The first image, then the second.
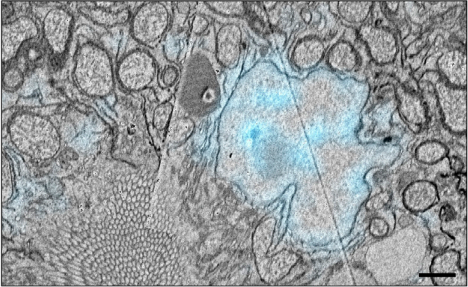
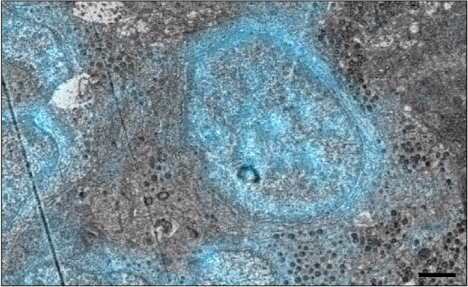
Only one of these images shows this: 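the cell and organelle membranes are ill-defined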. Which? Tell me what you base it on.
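First image: round membrane-bound profiles have crisp dark outlines. On this evidence: the second image.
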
